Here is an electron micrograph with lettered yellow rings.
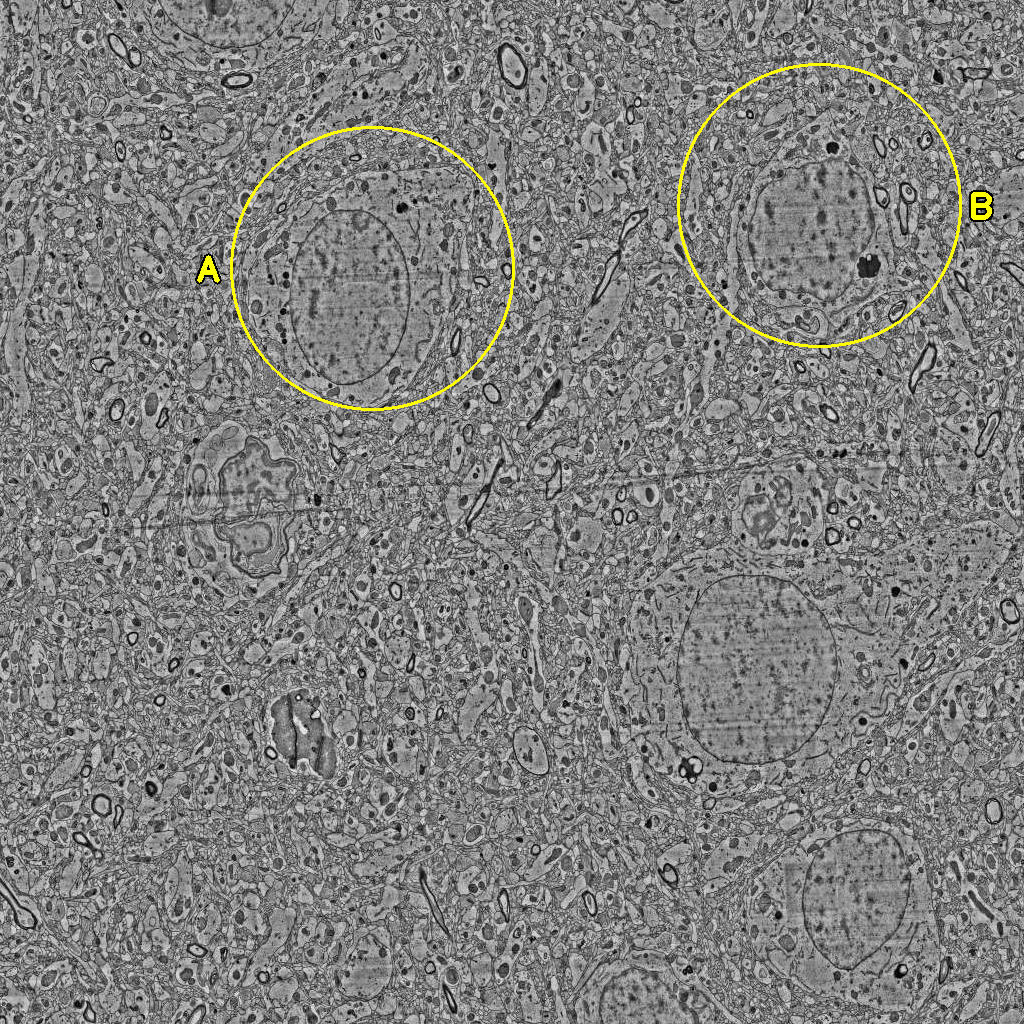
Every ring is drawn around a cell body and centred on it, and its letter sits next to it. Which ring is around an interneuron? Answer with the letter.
B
